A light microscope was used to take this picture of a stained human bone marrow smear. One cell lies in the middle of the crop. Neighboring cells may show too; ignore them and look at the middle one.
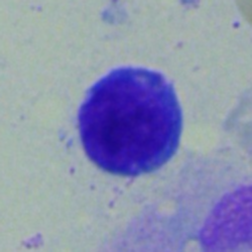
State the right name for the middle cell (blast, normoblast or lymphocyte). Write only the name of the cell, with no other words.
lymphocyte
